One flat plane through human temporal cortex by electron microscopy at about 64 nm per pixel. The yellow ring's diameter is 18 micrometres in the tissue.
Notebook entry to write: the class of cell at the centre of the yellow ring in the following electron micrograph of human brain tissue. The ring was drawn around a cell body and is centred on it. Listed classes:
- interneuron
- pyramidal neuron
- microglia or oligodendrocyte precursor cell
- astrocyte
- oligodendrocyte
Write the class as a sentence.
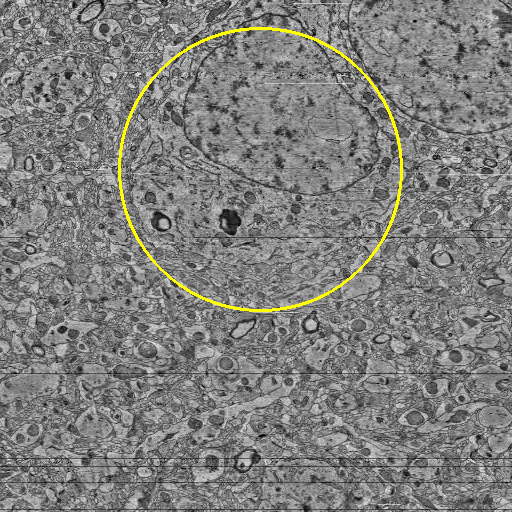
The yellow ring sits on a pyramidal neuron.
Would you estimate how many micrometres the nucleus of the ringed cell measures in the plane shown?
The nucleus is approximately 13 micrometers long by 11 micrometers wide in this plane.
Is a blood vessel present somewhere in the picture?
No, no vessel appears in the picture.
